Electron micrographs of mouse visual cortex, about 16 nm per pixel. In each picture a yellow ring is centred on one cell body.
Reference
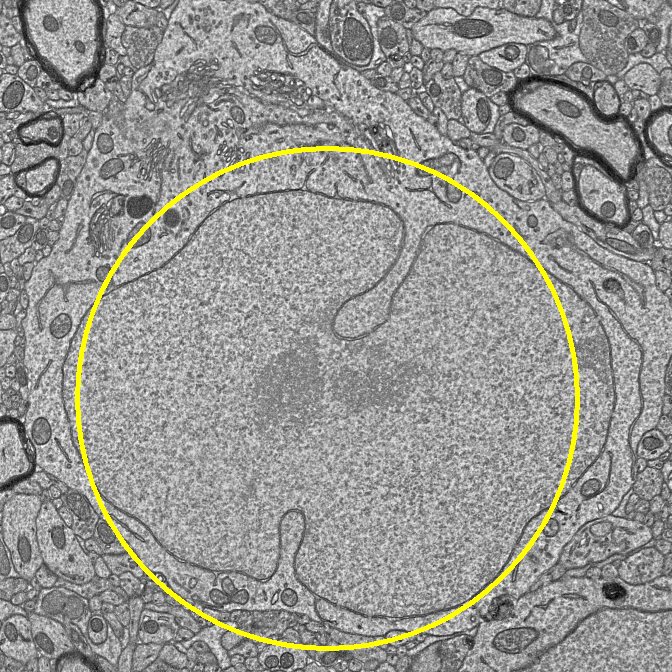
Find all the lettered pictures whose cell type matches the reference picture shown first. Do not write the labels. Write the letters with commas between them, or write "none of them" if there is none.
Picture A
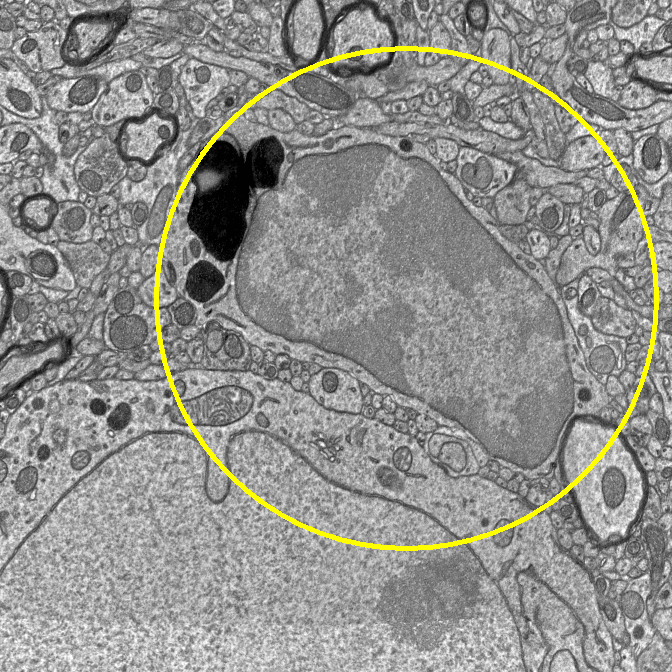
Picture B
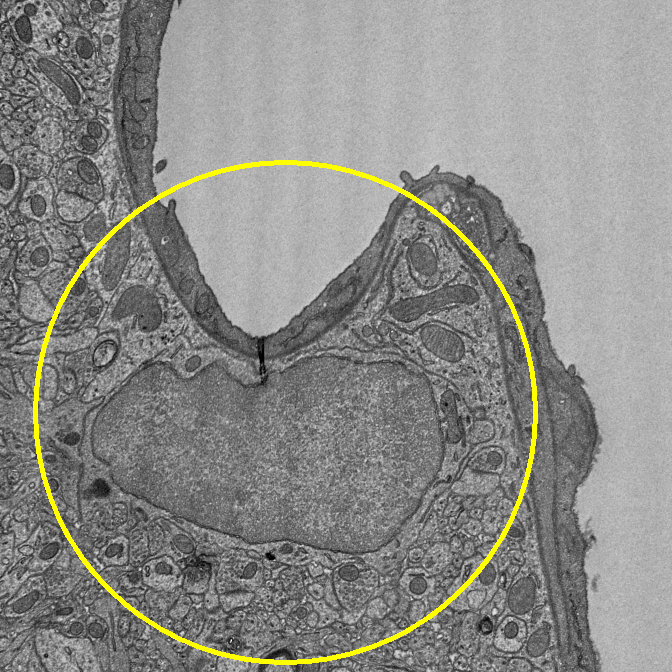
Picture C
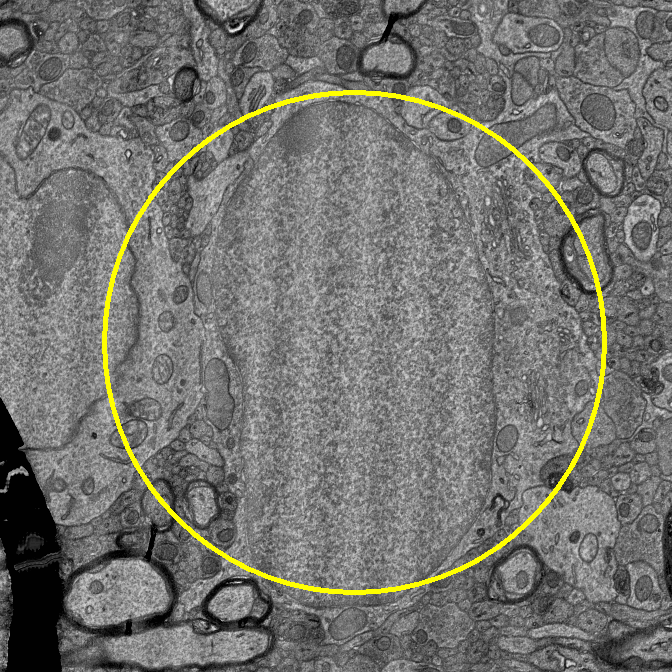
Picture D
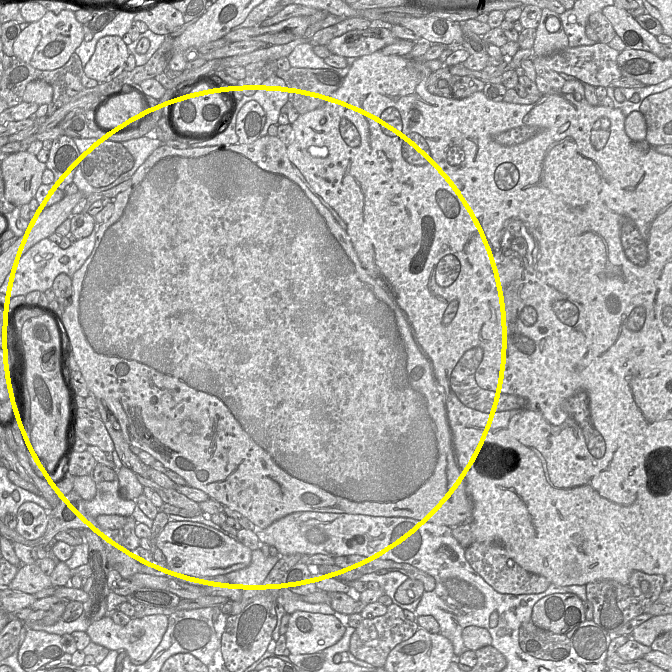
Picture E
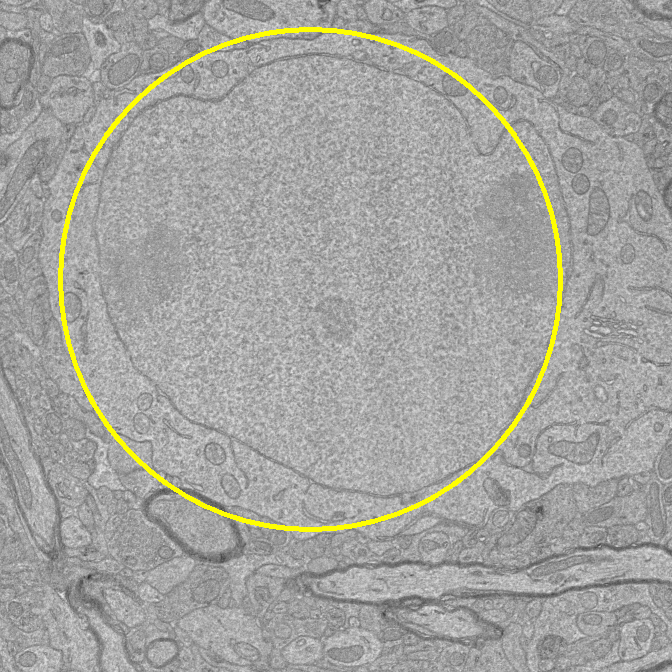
E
